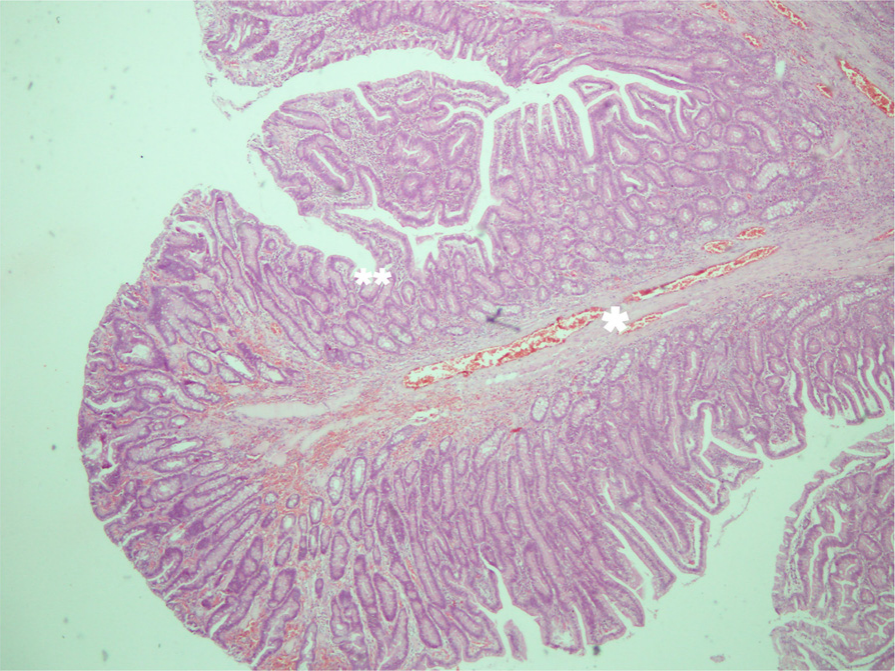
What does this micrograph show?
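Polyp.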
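A low-power view shows a branching polypoid lesion. Pink lamina propria lies between the crypts. Through the central axis of the lesion runs a pale pink core of smooth muscle. It spreads like a tree into the fronds and carries elongated, congested blood vessels filled with red cells. The mucosa sits on this core on both sides.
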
